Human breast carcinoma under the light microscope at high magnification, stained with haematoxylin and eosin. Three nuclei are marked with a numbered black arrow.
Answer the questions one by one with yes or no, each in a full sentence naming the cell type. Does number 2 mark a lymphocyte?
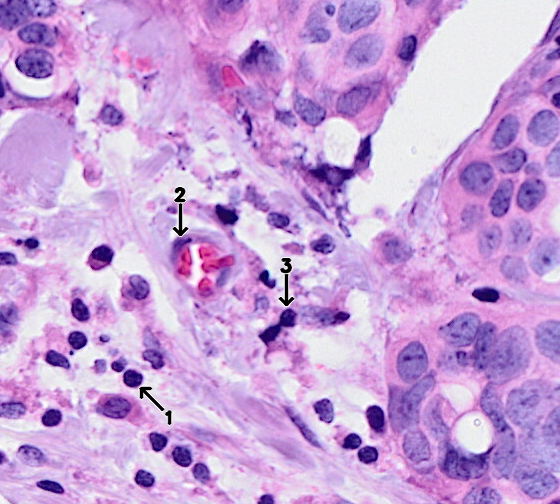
No, the cell with the number 2 is an endothelial cell, not a lymphocyte.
